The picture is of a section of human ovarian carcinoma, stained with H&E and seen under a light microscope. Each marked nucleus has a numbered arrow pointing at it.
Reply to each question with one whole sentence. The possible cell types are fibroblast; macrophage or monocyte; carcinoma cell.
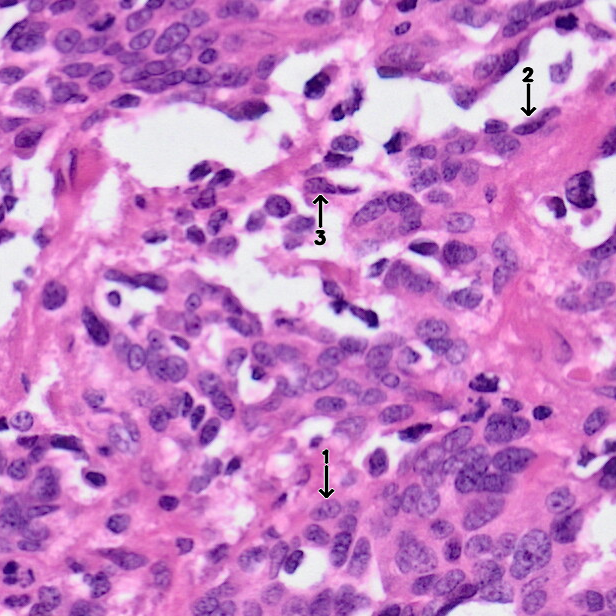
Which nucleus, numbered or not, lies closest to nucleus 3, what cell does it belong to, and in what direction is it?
Just above nucleus 3 lies the nearest nucleus, which belongs to a macrophage or monocyte.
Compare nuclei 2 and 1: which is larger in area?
Number 1 is larger; its area is about 1.5 times that of number 2.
